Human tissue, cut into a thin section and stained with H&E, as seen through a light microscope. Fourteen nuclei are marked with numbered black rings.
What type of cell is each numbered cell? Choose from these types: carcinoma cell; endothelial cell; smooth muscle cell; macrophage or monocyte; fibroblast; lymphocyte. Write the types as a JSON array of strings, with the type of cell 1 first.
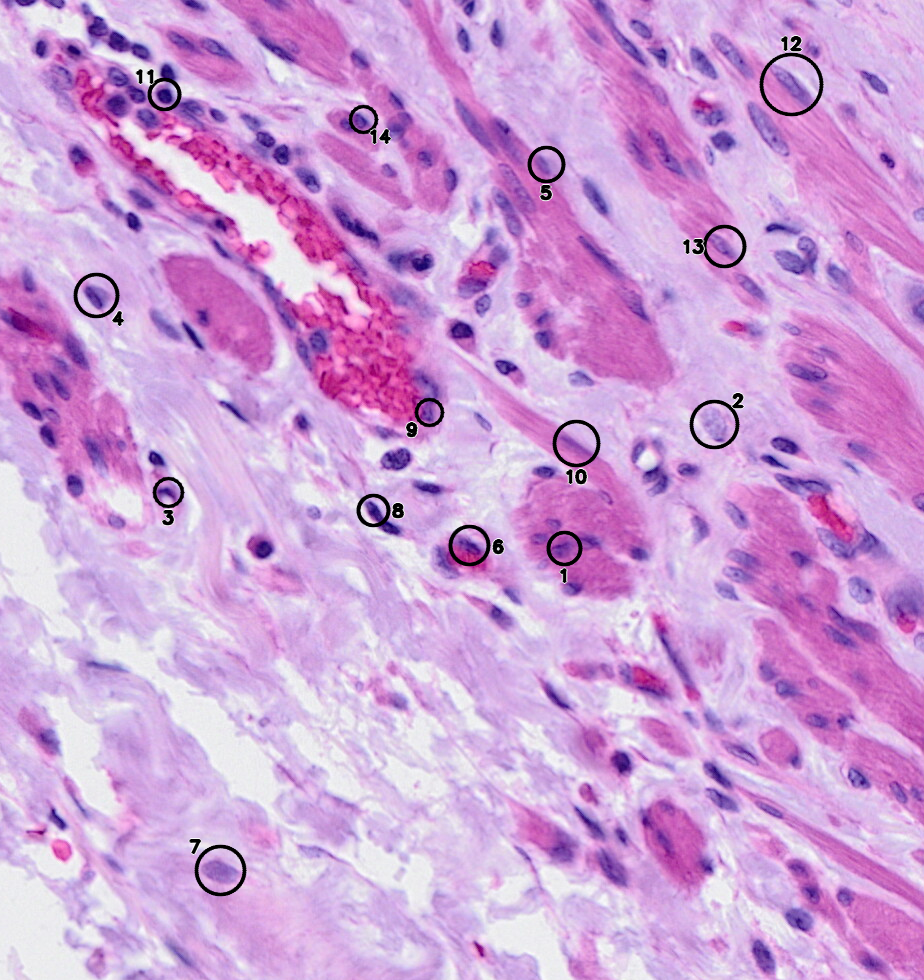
["smooth muscle cell", "fibroblast", "endothelial cell", "fibroblast", "smooth muscle cell", "endothelial cell", "fibroblast", "lymphocyte", "endothelial cell", "smooth muscle cell", "lymphocyte", "smooth muscle cell", "smooth muscle cell", "smooth muscle cell"]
